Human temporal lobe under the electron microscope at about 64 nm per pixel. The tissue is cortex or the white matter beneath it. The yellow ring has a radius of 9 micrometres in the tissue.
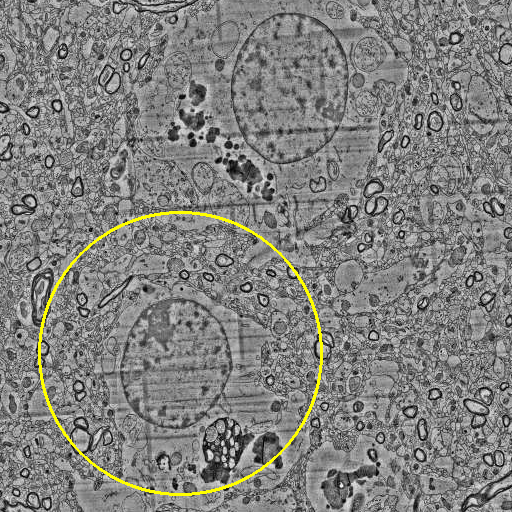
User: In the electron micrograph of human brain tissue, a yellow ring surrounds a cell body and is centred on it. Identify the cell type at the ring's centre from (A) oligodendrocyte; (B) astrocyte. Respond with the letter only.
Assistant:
B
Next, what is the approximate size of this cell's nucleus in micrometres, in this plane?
In this plane the nucleus measures roughly 8 by 7 micrometres.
